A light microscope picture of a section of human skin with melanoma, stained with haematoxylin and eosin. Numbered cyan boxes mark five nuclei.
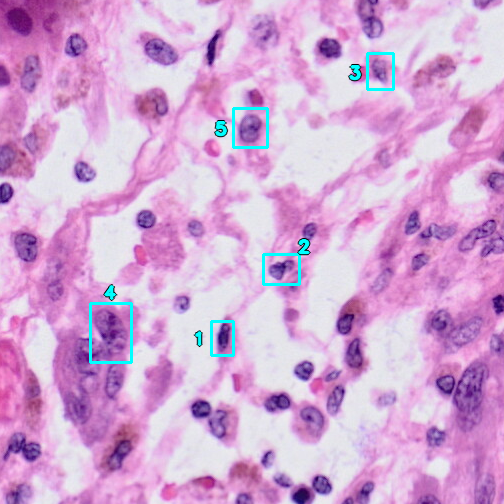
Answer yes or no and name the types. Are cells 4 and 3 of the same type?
No, cell 4 should be called a melanoma cell, and cell 3 should be called a macrophage or monocyte.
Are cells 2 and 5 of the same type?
No, cell 2 is interpreted as a lymphocyte, and cell 5 is interpreted as a macrophage or monocyte.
